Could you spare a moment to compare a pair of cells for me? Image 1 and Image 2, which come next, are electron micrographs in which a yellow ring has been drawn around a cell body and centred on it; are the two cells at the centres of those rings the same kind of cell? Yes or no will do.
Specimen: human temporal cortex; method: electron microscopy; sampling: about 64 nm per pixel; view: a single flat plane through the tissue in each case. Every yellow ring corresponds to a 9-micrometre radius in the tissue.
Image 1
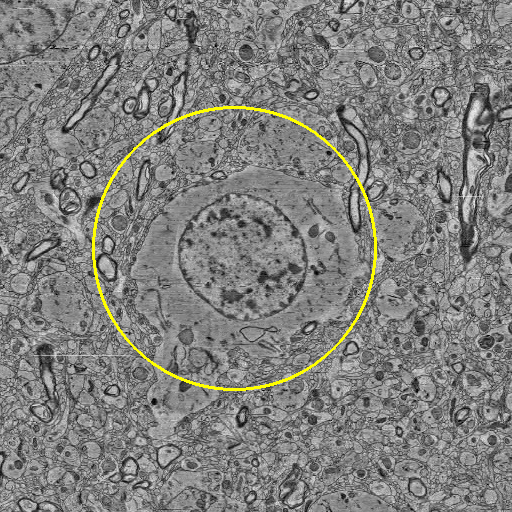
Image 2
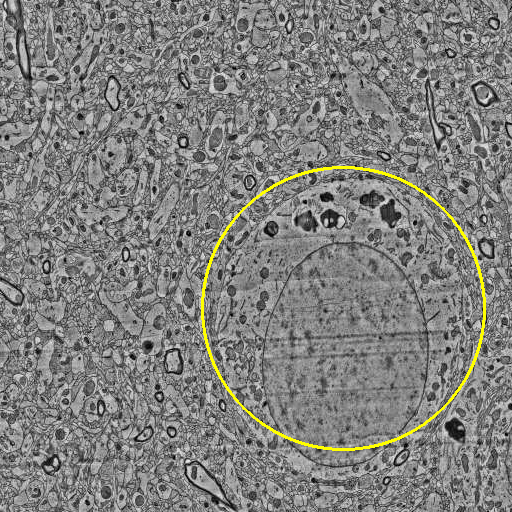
no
